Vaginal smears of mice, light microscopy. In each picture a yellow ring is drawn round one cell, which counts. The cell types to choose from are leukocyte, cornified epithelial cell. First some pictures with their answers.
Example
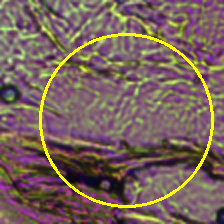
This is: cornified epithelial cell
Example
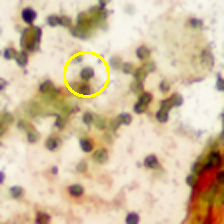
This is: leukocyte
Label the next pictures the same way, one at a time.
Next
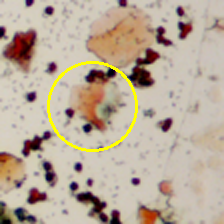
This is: cornified epithelial cell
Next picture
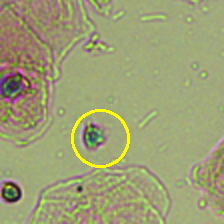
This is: leukocyte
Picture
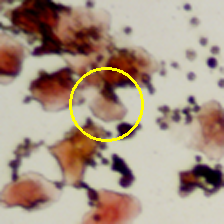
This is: cornified epithelial cell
